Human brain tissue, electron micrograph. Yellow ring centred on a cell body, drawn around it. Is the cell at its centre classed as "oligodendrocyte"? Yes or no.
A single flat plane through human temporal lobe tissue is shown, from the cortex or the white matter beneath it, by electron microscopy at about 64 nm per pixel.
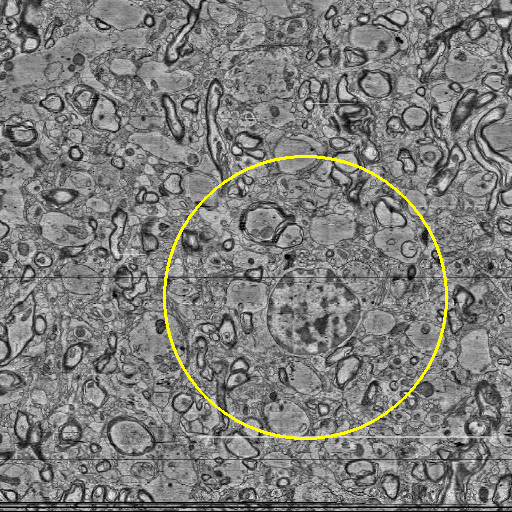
No, it is classed as another kind.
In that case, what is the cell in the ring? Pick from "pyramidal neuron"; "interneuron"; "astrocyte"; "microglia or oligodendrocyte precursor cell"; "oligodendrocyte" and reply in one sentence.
The cell this ring marks is a microglial cell or oligodendrocyte precursor cell.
